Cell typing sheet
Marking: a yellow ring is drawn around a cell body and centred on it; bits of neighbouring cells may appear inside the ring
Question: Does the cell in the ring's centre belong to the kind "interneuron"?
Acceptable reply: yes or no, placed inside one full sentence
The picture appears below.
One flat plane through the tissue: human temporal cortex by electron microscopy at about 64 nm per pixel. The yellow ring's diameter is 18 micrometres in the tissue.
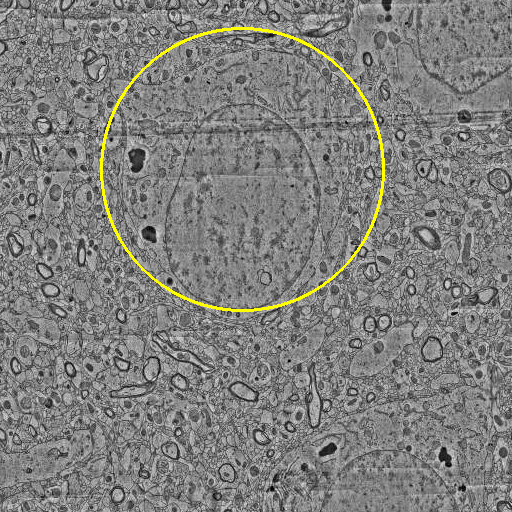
No, the cell at the centre of the ring belongs to a different kind.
